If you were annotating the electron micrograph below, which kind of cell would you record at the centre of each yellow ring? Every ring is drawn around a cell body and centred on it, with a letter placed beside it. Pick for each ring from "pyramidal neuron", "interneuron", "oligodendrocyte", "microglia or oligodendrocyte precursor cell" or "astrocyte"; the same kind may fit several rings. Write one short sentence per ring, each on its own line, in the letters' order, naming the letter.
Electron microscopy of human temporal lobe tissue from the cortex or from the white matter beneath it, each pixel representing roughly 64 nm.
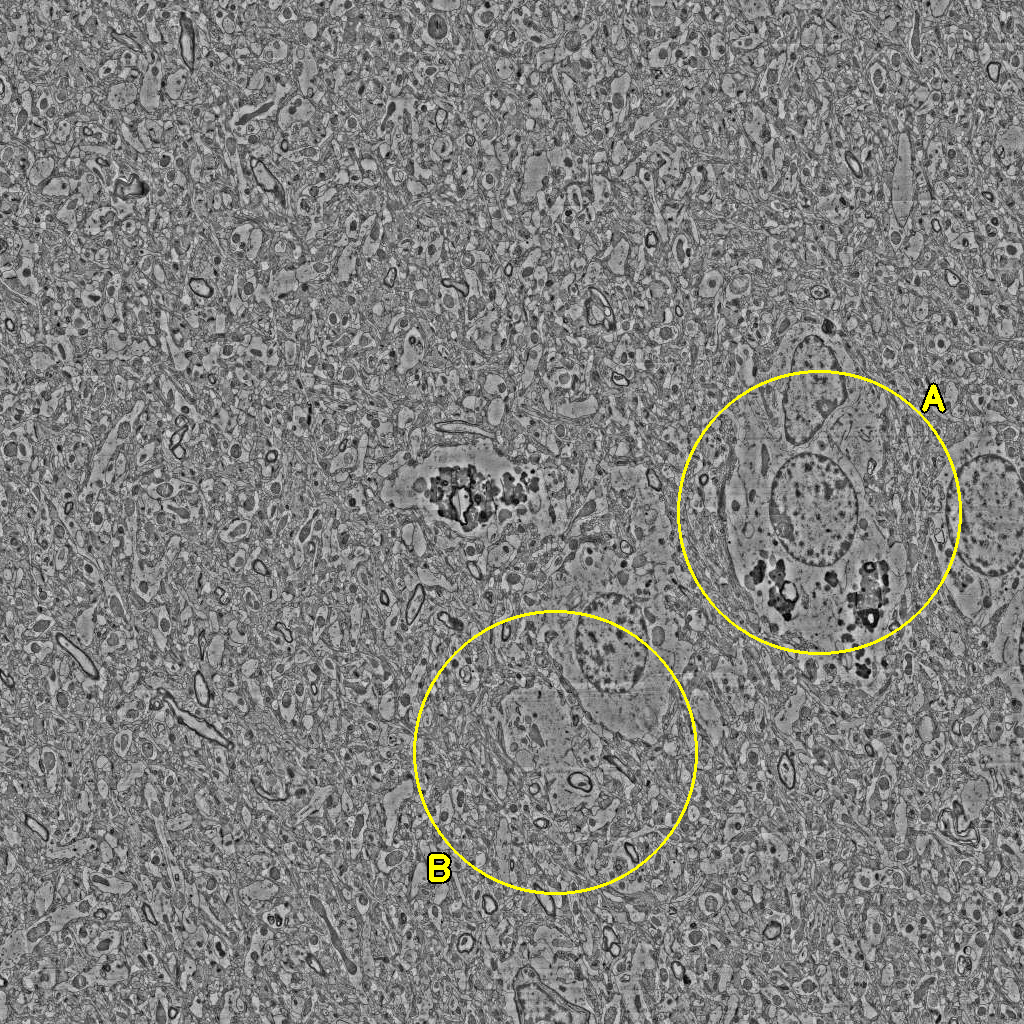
For ring A, I would record an astrocyte.
For ring B, I would record an astrocyte.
